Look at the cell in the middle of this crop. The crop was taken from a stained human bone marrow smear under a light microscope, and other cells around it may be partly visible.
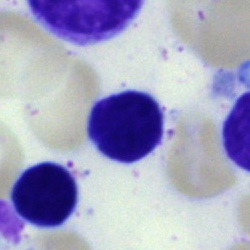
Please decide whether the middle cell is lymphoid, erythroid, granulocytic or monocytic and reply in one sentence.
In terms of lineage, the cell at the center is lymphoid.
